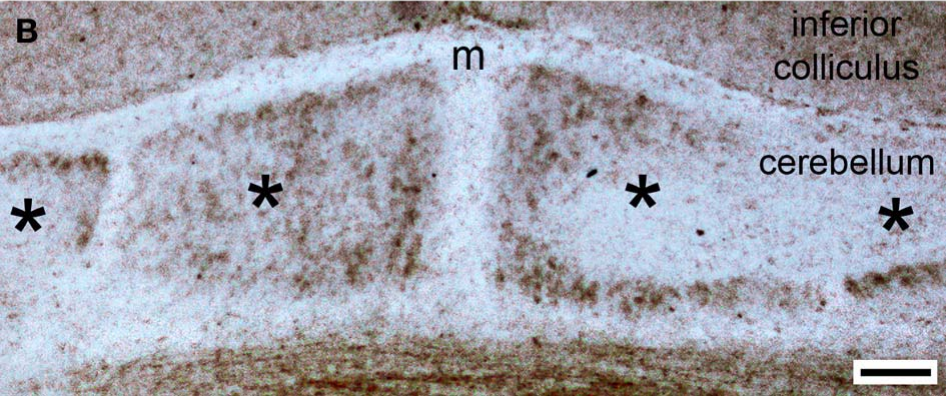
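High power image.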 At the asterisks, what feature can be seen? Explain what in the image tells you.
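Separate patches of brown-stained cells lie side by side across the cerebellum. The stained patches are separated by paler gaps, one of them at the midline. That points to this answer: Purkinje cell zones.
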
